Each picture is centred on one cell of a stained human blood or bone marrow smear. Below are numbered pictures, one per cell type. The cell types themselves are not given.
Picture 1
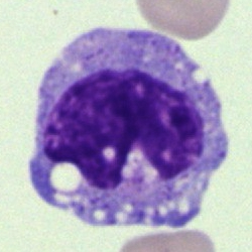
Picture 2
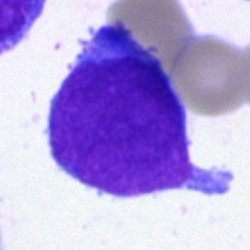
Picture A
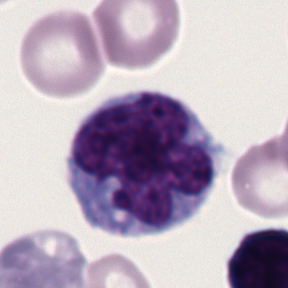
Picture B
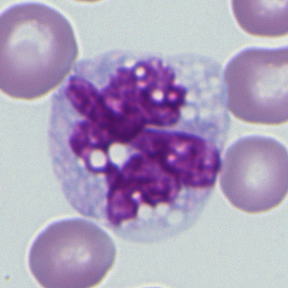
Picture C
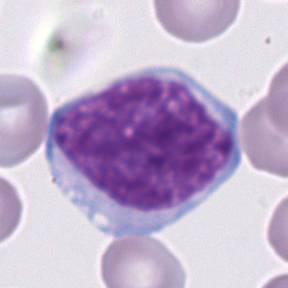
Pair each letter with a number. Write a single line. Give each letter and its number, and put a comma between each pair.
A 1, B 1, C 2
